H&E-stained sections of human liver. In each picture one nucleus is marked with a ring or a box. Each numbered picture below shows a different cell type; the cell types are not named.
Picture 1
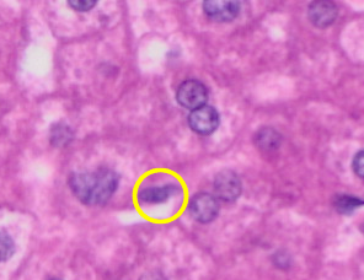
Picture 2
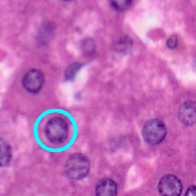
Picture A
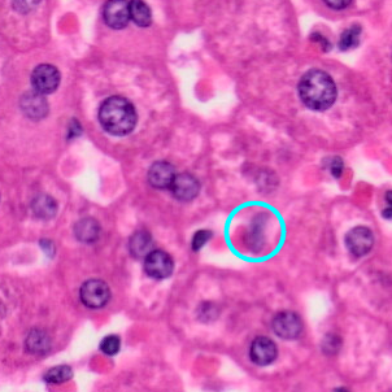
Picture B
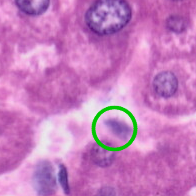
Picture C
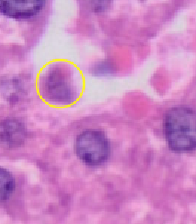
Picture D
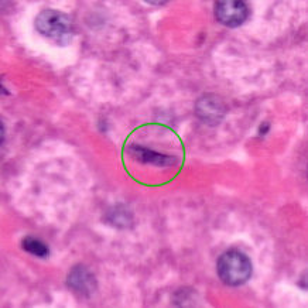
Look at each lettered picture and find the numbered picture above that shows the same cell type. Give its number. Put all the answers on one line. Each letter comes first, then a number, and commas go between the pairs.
A 1, B 1, C 1, D 1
